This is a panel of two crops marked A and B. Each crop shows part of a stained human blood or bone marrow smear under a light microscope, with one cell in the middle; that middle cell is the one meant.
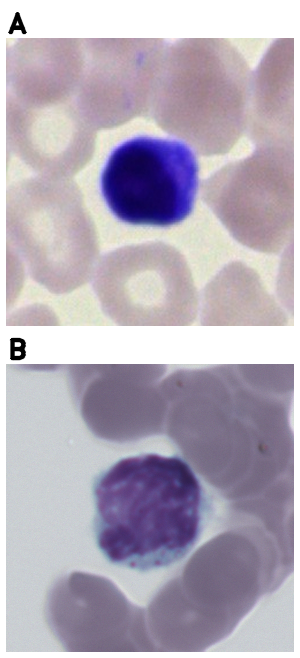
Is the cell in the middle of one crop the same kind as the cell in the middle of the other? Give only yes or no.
yes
